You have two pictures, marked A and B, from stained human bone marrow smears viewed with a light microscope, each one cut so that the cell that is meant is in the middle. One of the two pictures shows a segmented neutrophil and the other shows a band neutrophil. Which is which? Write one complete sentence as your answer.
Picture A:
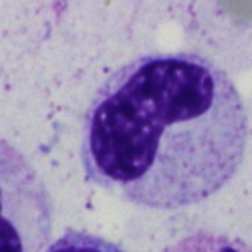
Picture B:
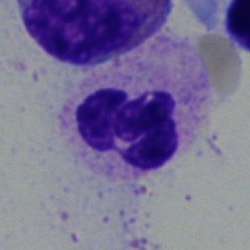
Picture A is of a band neutrophil, and picture B is of a segmented neutrophil.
